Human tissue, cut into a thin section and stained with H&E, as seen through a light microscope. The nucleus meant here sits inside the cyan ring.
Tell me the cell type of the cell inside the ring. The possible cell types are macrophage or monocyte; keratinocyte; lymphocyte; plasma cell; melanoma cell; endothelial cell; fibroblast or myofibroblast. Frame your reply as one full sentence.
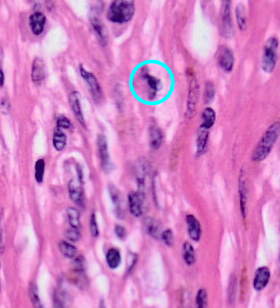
In this tissue sample, the cell inside the ring is a lymphocyte.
